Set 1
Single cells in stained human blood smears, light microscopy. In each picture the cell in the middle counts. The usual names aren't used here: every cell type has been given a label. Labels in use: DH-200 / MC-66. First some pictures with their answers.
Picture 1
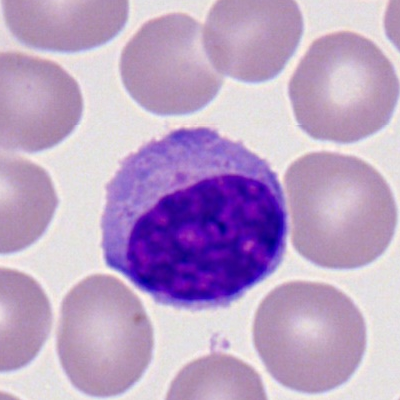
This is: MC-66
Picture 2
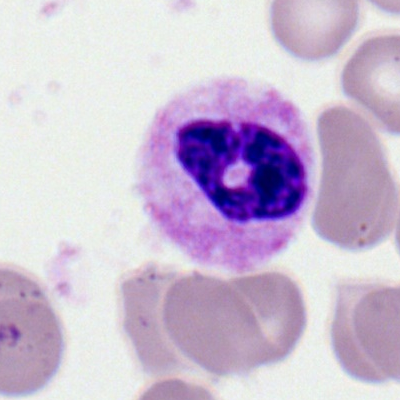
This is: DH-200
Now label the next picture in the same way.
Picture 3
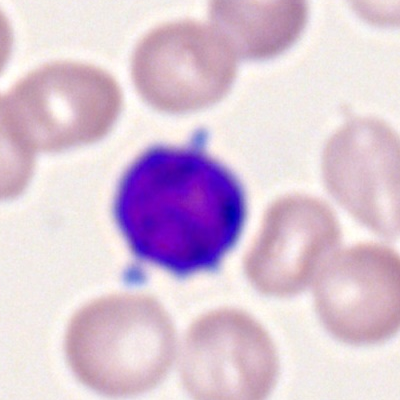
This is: MC-66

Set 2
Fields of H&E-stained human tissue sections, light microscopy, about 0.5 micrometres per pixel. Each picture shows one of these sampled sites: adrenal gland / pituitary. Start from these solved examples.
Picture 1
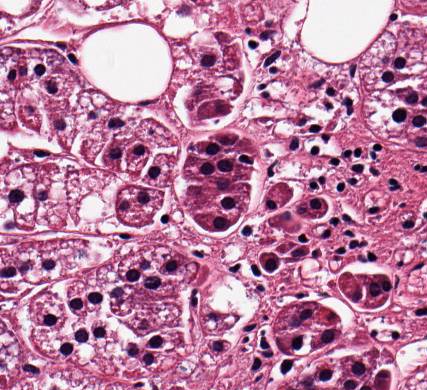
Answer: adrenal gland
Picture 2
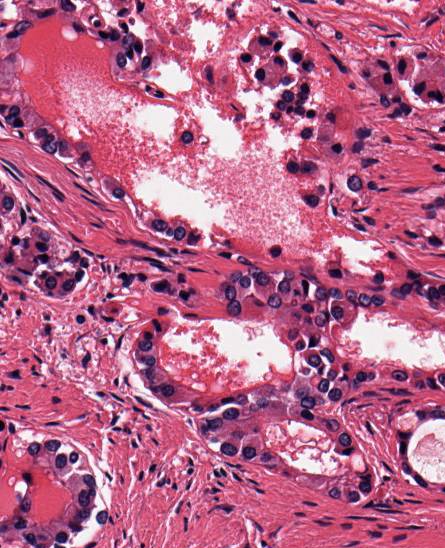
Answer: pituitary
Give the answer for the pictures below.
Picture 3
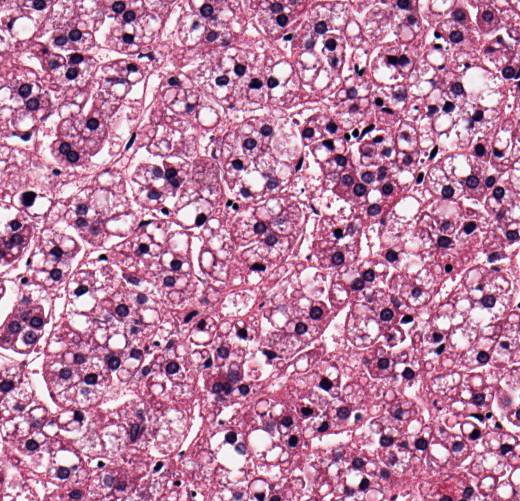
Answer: adrenal gland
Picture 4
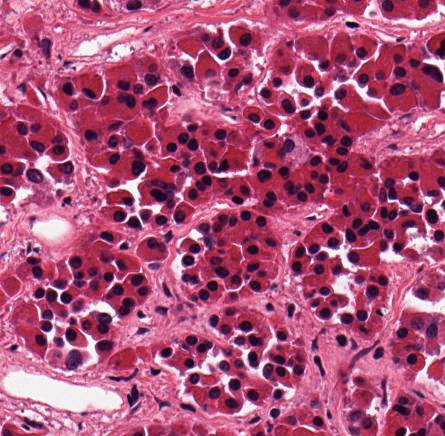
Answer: pituitary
